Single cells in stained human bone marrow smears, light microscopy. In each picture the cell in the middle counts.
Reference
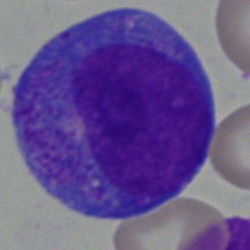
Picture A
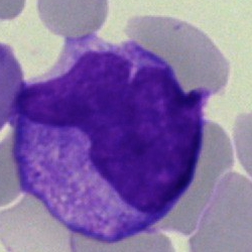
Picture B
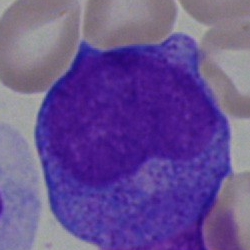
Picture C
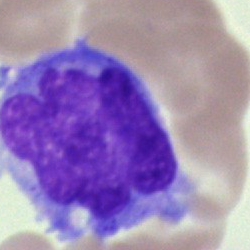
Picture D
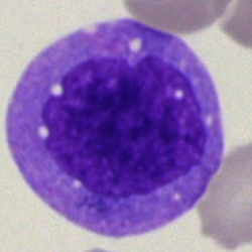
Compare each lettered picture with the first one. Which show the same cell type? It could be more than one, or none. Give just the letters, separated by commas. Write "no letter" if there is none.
B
